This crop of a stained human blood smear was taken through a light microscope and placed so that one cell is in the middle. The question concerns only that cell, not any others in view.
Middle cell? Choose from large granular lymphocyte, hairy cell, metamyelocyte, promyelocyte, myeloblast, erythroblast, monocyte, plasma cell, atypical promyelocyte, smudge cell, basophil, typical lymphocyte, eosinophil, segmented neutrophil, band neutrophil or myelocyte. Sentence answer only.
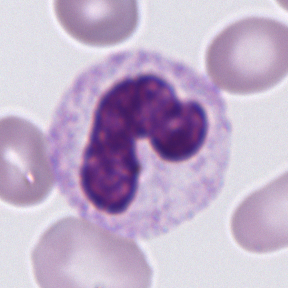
Looking at the middle of the crop, the cell there is a segmented neutrophil.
